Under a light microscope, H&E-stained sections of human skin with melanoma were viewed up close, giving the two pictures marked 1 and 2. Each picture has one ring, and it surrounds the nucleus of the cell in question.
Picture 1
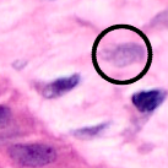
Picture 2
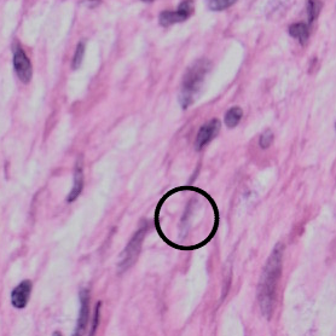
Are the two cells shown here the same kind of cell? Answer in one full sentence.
Yes, both cells are “fibroblasts or myofibroblasts”.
